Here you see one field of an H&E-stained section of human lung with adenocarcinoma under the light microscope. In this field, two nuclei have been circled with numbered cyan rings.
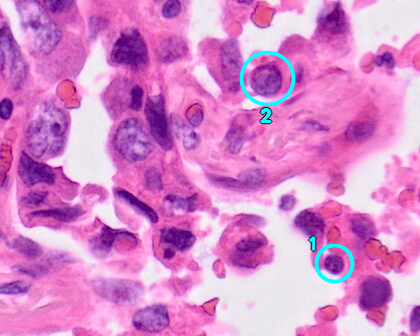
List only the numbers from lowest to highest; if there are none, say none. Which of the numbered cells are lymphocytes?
1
